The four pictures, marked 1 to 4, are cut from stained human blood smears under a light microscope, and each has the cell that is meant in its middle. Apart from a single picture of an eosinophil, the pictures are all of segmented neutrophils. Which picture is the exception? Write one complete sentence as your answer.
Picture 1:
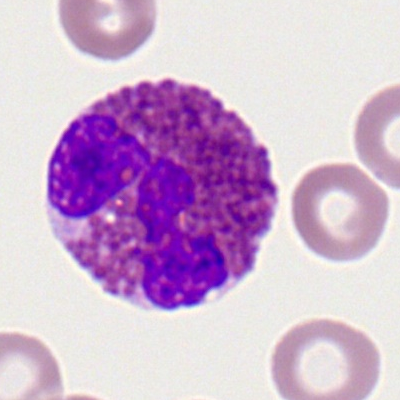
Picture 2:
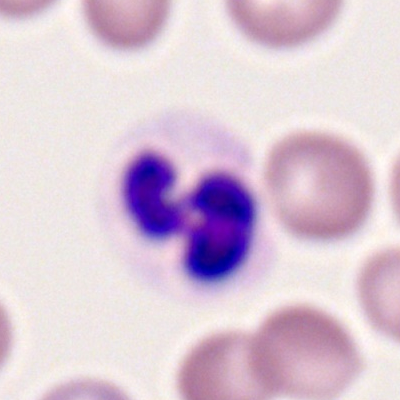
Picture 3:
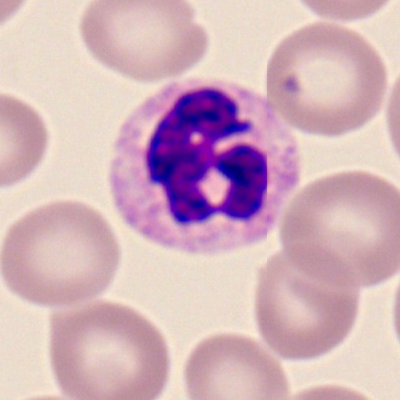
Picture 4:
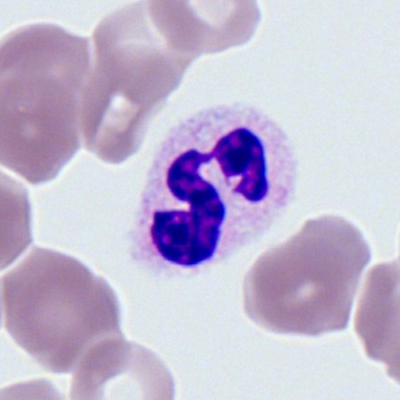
It is picture 1 that shows the eosinophil.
